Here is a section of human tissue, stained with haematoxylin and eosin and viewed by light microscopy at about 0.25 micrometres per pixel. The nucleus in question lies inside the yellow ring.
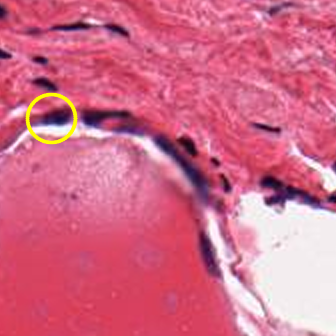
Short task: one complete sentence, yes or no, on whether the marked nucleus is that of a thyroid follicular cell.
Yes, the marked nucleus is held by a thyroid follicular cell.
